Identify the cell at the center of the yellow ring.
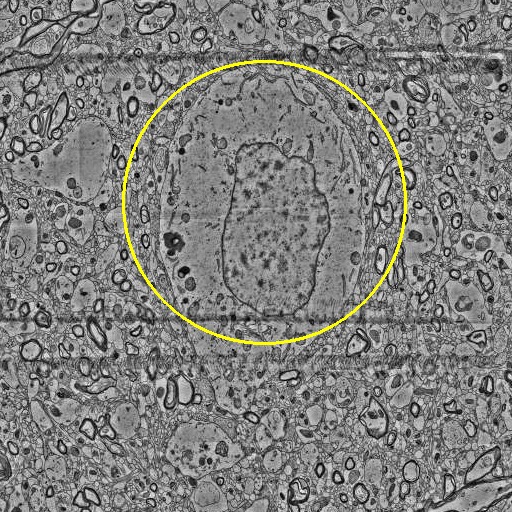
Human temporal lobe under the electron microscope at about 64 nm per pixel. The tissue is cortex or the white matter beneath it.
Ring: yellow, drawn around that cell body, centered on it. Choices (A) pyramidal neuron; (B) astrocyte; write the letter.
A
